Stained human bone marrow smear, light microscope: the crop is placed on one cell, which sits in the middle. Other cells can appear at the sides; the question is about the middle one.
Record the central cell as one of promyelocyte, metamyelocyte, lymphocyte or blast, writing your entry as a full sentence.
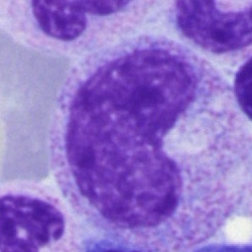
The target cell in the middle of the crop is a metamyelocyte.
